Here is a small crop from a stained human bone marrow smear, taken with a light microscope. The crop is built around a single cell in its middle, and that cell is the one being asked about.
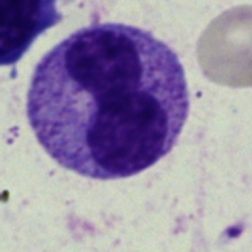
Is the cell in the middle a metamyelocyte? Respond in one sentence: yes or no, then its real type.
No, the cell in the middle is not a metamyelocyte but a band neutrophil.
